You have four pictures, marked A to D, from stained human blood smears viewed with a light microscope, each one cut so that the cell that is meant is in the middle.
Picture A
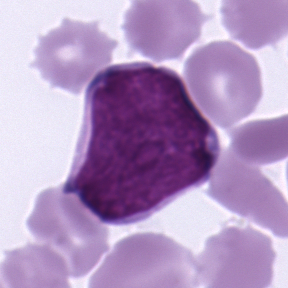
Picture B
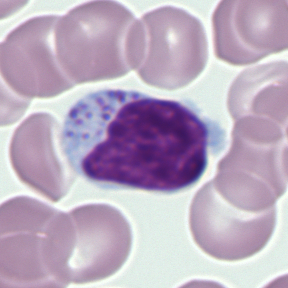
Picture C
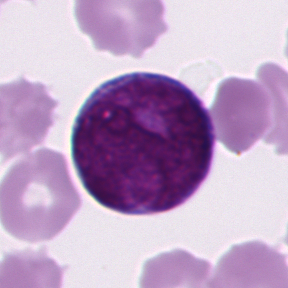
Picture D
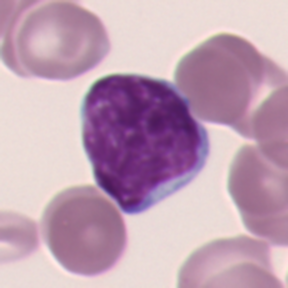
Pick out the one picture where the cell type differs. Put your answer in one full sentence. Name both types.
Unlike the rest, which show myeloblasts, picture B shows a large granular lymphocyte.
